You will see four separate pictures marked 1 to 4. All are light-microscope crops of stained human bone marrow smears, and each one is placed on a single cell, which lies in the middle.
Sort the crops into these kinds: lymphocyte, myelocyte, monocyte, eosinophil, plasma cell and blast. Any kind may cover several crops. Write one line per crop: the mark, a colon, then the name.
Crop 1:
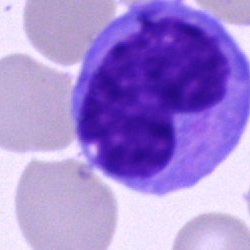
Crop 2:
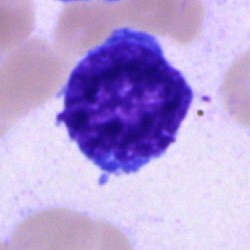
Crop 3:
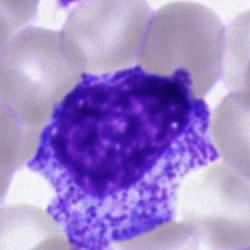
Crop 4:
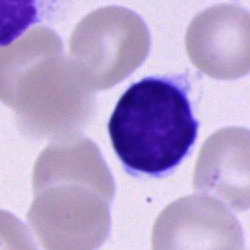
1: monocyte
2: blast
3: myelocyte
4: lymphocyte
